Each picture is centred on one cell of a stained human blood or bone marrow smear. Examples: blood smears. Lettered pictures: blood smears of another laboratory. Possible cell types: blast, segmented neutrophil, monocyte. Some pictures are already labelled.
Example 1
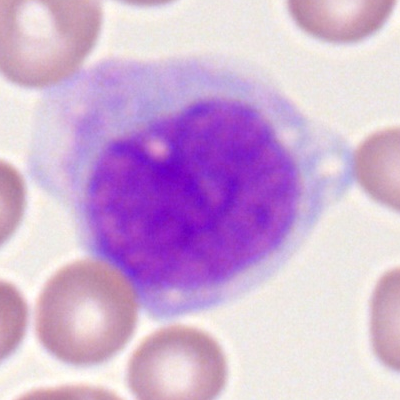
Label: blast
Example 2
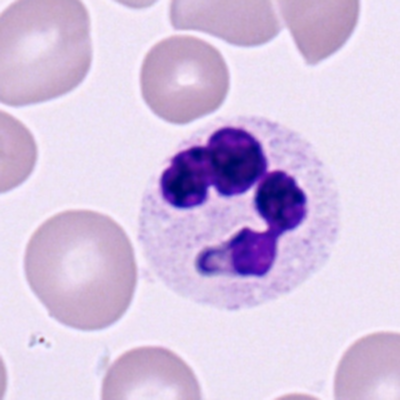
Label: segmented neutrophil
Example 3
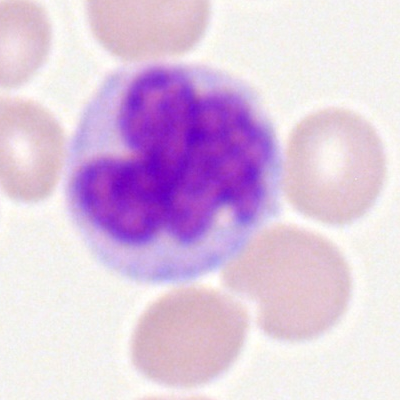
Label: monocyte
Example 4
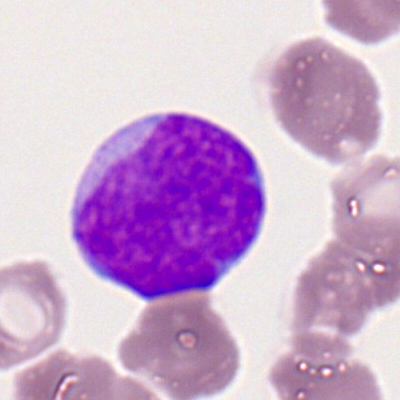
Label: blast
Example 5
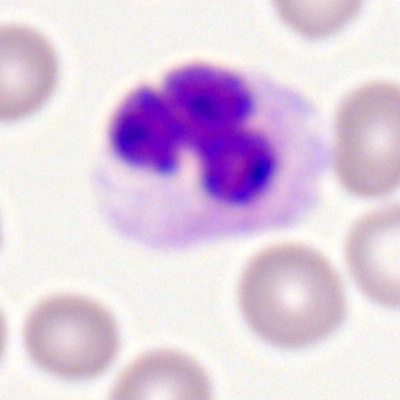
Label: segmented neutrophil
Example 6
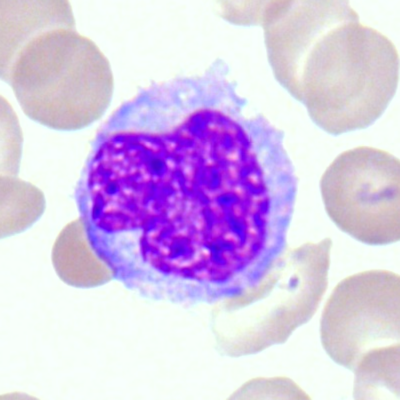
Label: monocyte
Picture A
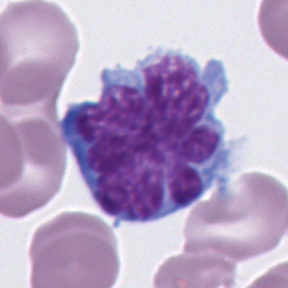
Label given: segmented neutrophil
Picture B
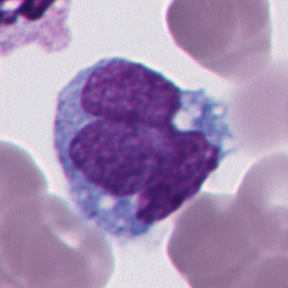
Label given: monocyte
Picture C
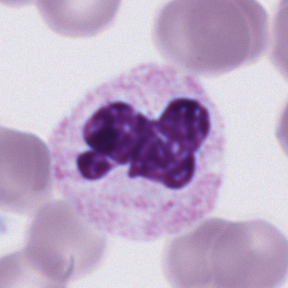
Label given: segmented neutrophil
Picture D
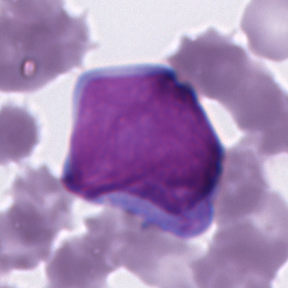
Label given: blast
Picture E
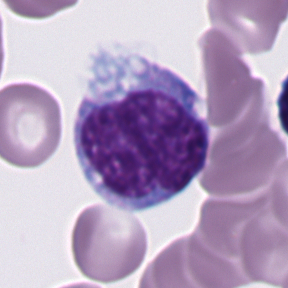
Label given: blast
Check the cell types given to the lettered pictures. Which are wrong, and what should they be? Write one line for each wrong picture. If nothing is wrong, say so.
A: change segmented neutrophil to monocyte
E: change blast to monocyte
